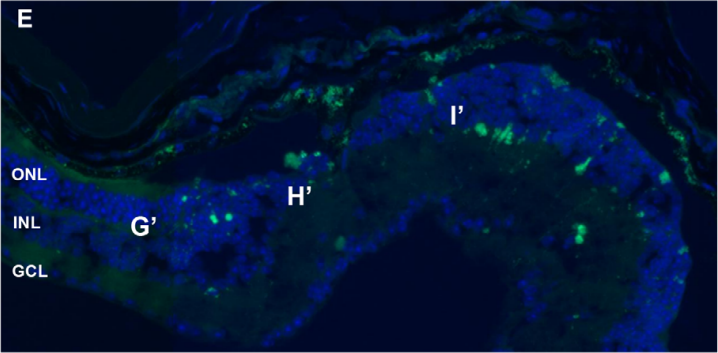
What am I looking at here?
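A fluorescence section through a severely degenerating retina, its nuclei shown in blue. On the left, the layering is still recognisable. A band of densely packed nuclei lies on the outer side, a second nuclear band lies beneath it, and a thinner row of nuclei sits on the inner surface, with paler, nucleus-poor bands between them. Toward the middle and right, the outermost nuclear band thins out and disappears. The tissue there becomes irregular and folded, and the nuclei lose their orderly arrangement. Bright green spots and small clusters are scattered within the remaining nuclear tissue, mostly at and beyond the edge of the disrupted zone. A thin, wavy sheet with green granules runs along the outer edge of the section.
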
